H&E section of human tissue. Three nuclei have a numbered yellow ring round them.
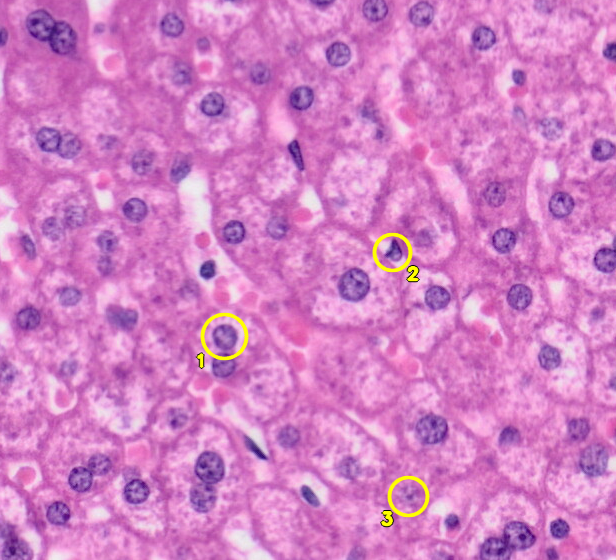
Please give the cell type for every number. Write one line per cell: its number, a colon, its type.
1: hepatocyte
2: endothelial cell
3: hepatocyte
